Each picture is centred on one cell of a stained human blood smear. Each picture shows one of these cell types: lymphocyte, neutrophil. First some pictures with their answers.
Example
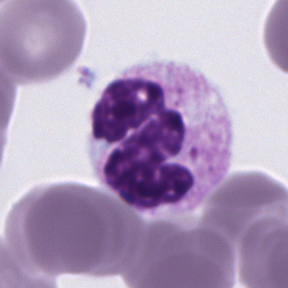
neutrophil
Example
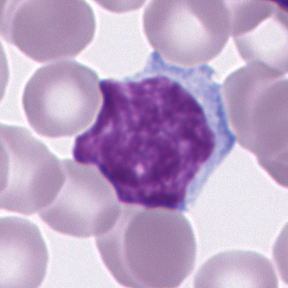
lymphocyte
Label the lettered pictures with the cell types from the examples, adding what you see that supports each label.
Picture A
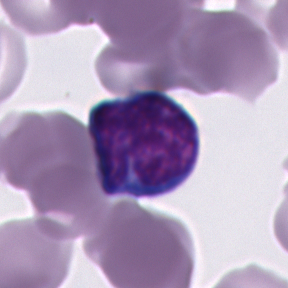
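lymphocyte. Evidence: The thin rim of cytoplasm is blue.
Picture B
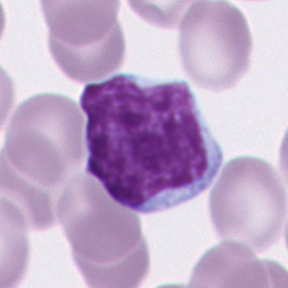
lymphocyte. Evidence: The cytoplasm is a thin rim that is widest at the lower right of the cell.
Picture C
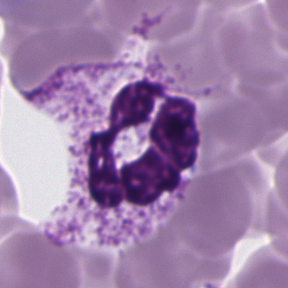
neutrophil. Evidence: The cytoplasm is plentiful and very pale, nearly colourless with a faint pink tinge.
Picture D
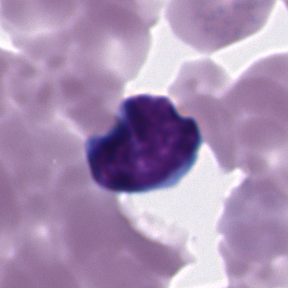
lymphocyte. Evidence: The cytoplasm is scant, showing only as a thin rim at the edge of the nucleus.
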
